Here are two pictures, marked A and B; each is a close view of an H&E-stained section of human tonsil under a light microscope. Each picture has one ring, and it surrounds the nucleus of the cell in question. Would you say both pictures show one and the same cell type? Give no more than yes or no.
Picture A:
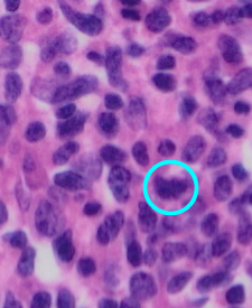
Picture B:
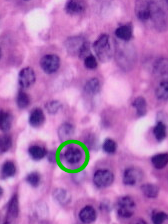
no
